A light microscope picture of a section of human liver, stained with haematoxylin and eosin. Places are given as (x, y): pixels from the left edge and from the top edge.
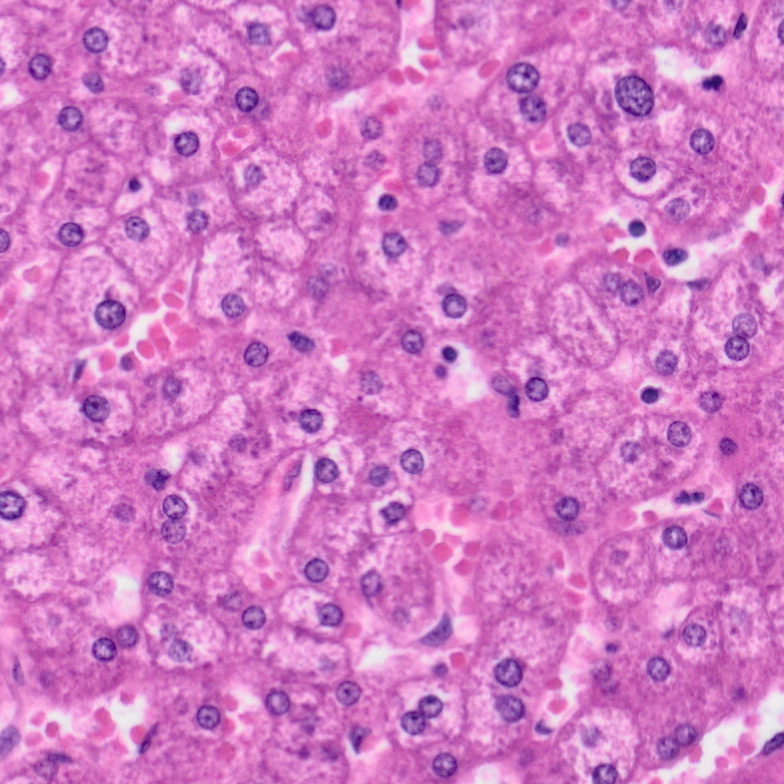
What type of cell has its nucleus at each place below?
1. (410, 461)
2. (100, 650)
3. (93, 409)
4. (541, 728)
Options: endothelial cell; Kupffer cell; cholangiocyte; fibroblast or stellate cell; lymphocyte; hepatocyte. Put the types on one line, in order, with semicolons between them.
hepatocyte; hepatocyte; hepatocyte; endothelial cell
